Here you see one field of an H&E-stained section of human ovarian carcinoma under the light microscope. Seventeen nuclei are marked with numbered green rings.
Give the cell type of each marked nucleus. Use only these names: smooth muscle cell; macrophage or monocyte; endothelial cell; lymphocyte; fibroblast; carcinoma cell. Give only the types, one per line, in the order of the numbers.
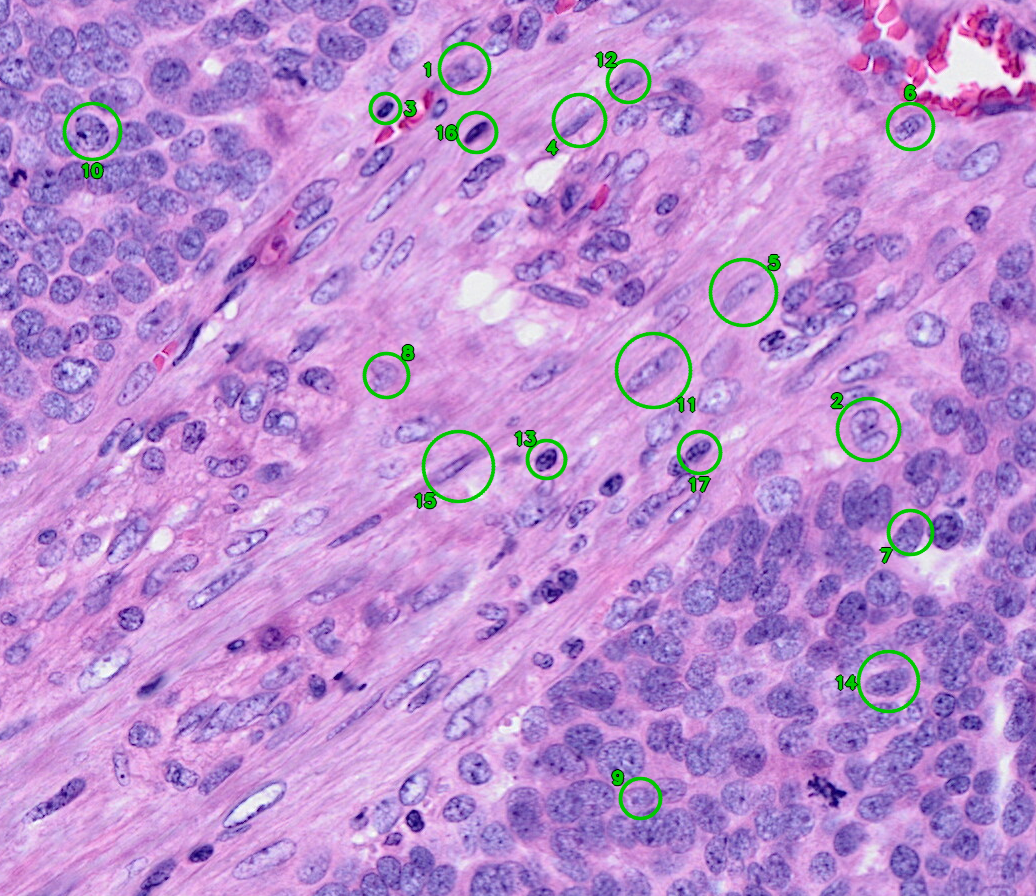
endothelial cell
fibroblast
lymphocyte
fibroblast
fibroblast
macrophage or monocyte
carcinoma cell
fibroblast
carcinoma cell
macrophage or monocyte
fibroblast
fibroblast
lymphocyte
carcinoma cell
fibroblast
lymphocyte
lymphocyte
